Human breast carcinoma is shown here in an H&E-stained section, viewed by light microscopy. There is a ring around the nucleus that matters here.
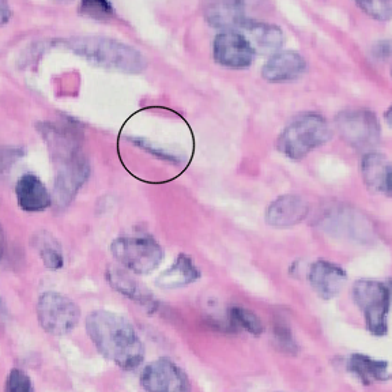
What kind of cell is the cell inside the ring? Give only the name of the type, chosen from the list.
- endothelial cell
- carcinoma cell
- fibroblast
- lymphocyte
endothelial cell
